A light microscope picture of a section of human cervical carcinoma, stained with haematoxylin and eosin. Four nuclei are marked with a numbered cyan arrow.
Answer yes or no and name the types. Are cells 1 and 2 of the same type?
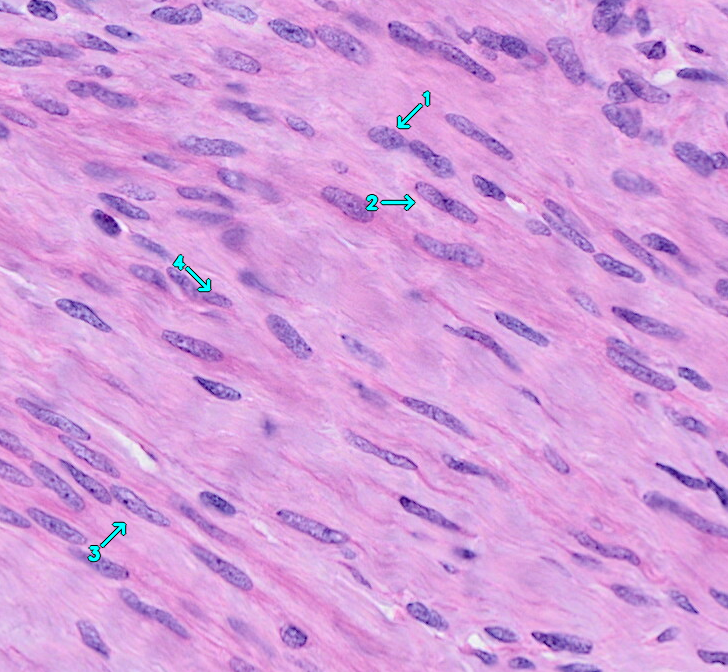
No, the cell at number 1 is a fibroblast, and the cell at number 2 is a smooth muscle cell.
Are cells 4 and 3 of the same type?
Yes, that is right: cells 4 and 3 are both smooth muscle cells.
